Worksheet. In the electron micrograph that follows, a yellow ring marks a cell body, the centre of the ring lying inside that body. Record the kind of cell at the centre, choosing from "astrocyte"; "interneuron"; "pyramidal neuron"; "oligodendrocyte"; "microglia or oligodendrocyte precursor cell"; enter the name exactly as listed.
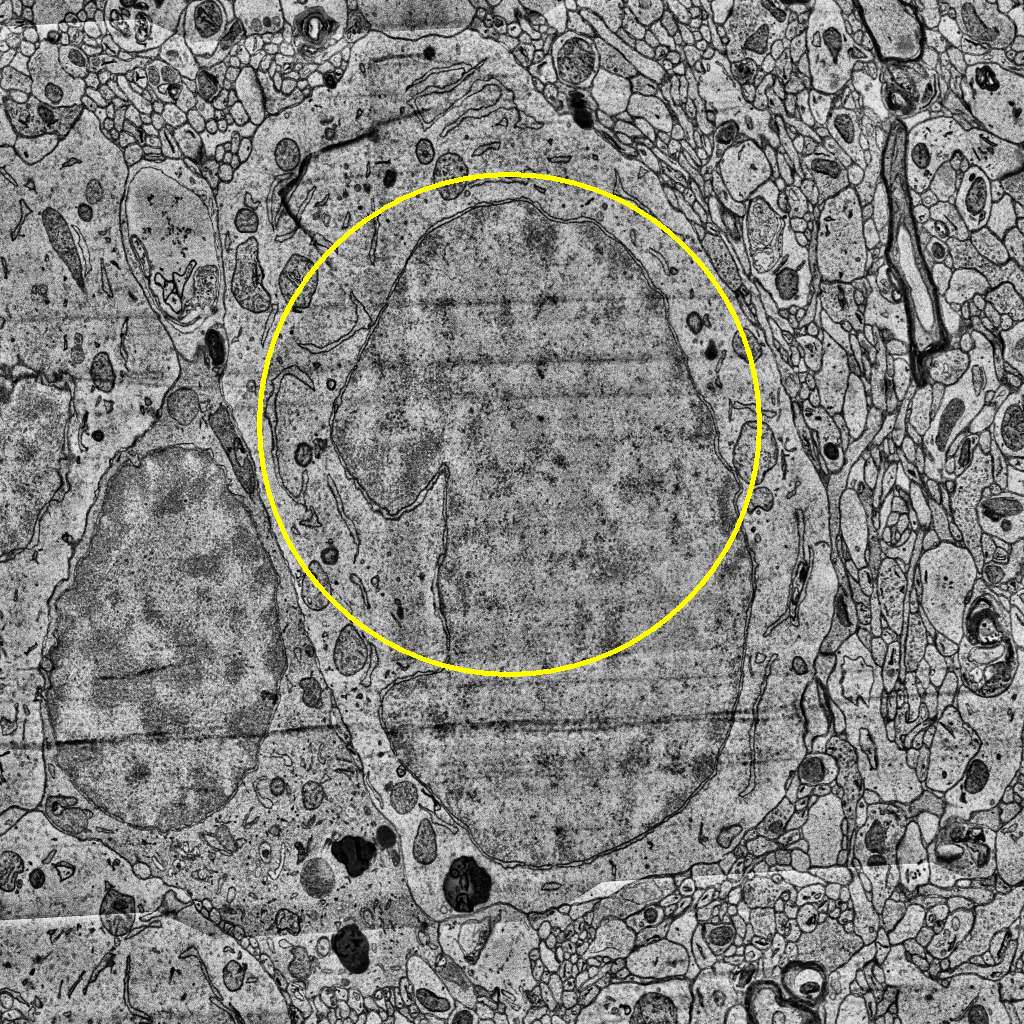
interneuron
